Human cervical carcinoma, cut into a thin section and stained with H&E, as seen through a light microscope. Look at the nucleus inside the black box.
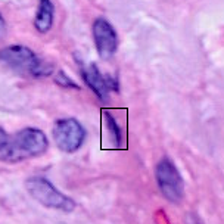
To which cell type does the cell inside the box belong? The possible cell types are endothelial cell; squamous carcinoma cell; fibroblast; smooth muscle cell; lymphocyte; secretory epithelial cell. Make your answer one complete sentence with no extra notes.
Speaking plainly, the cell inside the box is nothing other than an endothelial cell.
